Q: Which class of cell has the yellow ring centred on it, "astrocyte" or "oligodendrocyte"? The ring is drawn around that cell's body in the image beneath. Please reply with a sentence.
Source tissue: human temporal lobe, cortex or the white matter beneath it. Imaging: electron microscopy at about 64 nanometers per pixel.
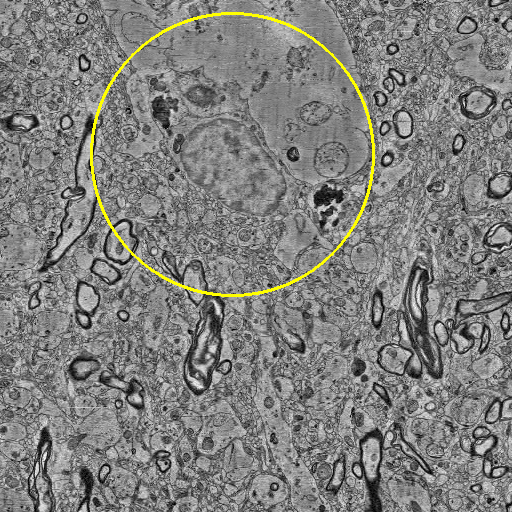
It is centred on an oligodendrocyte.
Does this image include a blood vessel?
Yes.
